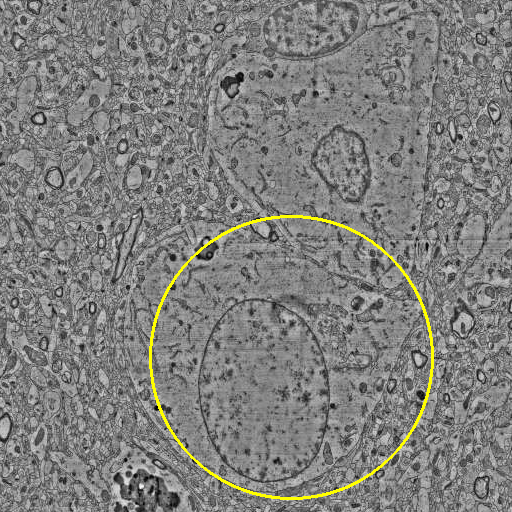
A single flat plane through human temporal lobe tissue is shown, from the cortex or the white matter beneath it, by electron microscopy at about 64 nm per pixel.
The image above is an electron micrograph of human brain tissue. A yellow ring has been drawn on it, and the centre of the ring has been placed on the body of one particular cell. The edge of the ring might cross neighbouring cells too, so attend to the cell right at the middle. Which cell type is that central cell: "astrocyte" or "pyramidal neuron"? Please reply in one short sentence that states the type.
The central cell in the ring is a pyramidal neuron.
